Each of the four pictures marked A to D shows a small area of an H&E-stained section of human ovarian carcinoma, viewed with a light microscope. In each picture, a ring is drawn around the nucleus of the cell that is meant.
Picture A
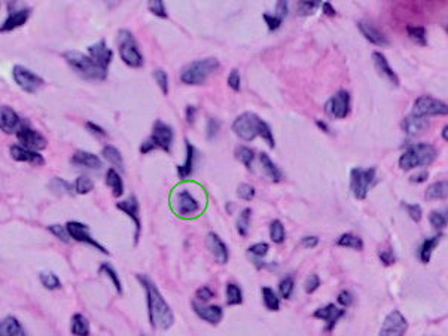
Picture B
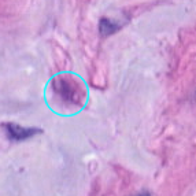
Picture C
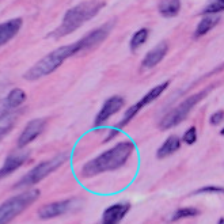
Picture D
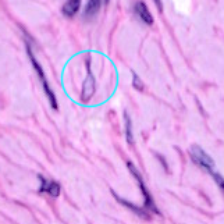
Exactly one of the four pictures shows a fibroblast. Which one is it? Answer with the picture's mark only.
D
